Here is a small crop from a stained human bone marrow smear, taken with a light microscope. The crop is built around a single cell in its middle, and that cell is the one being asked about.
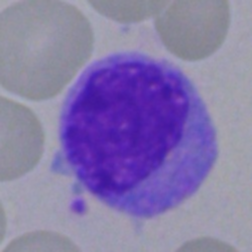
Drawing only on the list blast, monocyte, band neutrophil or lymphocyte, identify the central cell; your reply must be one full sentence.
The center cell of this crop is a monocyte.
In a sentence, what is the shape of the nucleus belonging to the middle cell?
Key feature: a single compact nucleus, round, oval or kidney-shaped.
